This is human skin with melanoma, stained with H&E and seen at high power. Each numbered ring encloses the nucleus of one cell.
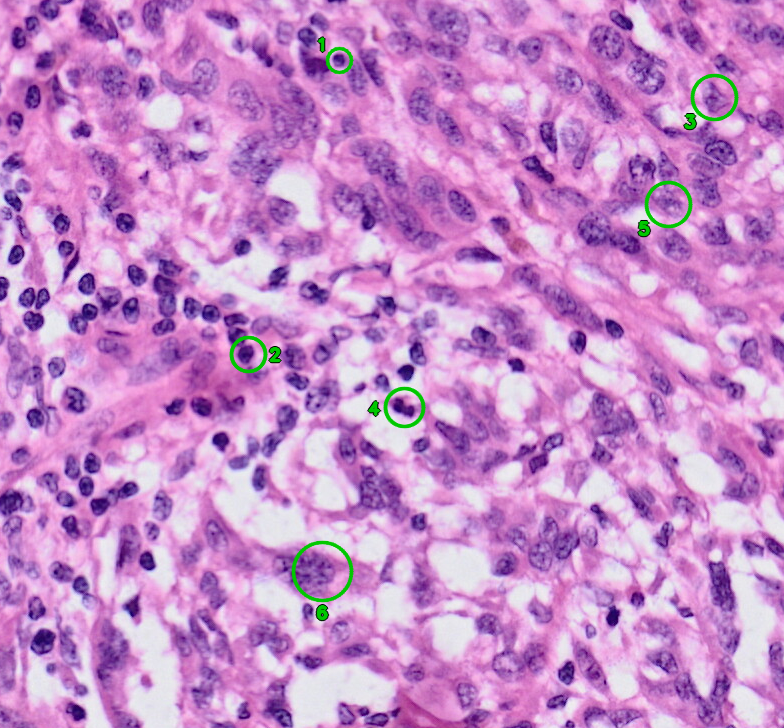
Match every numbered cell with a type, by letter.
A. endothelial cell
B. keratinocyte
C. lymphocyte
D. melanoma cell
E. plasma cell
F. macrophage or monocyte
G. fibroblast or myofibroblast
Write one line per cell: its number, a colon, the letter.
1: C
2: C
3: D
4: C
5: D
6: D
